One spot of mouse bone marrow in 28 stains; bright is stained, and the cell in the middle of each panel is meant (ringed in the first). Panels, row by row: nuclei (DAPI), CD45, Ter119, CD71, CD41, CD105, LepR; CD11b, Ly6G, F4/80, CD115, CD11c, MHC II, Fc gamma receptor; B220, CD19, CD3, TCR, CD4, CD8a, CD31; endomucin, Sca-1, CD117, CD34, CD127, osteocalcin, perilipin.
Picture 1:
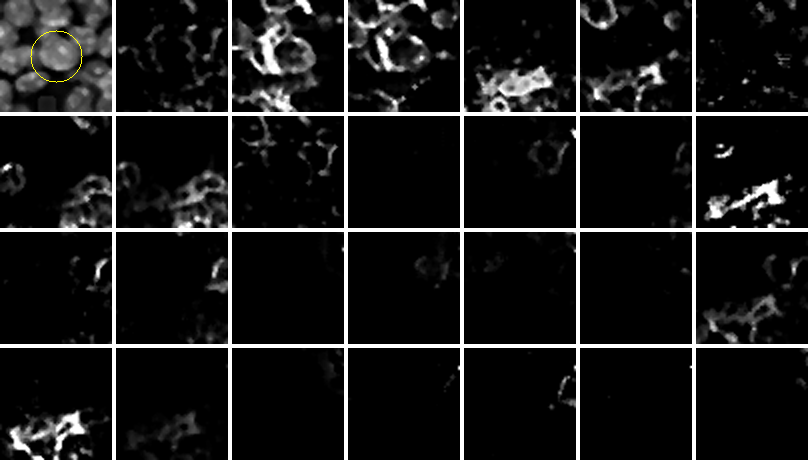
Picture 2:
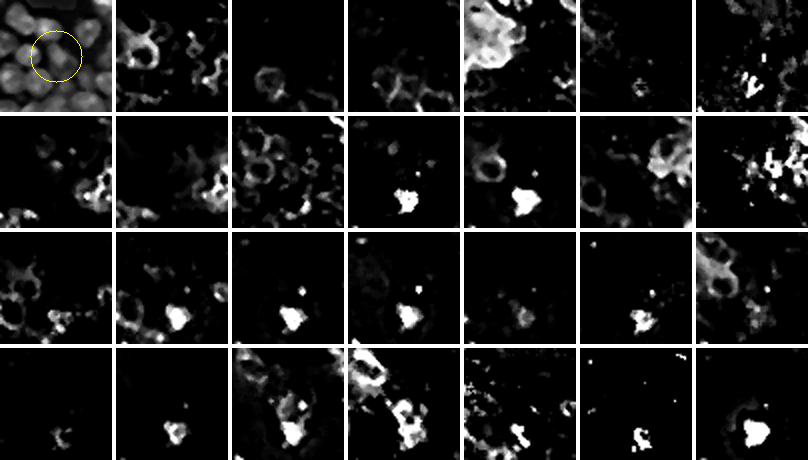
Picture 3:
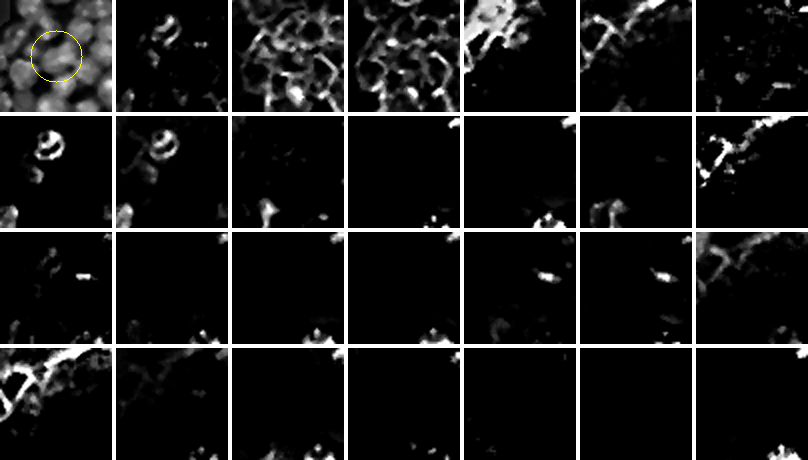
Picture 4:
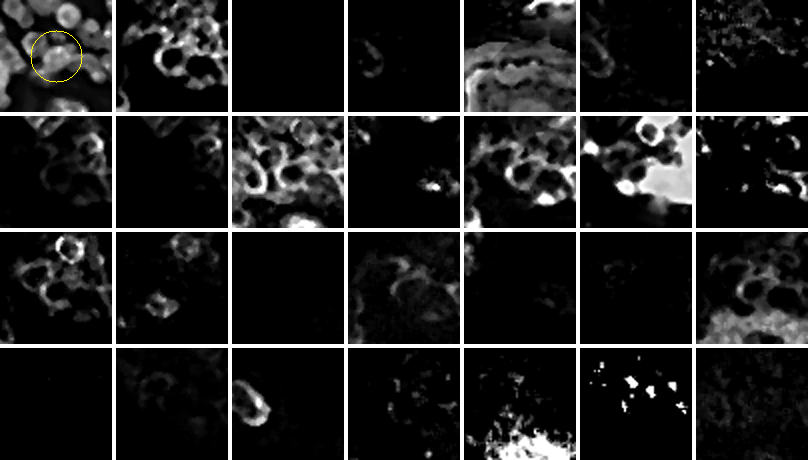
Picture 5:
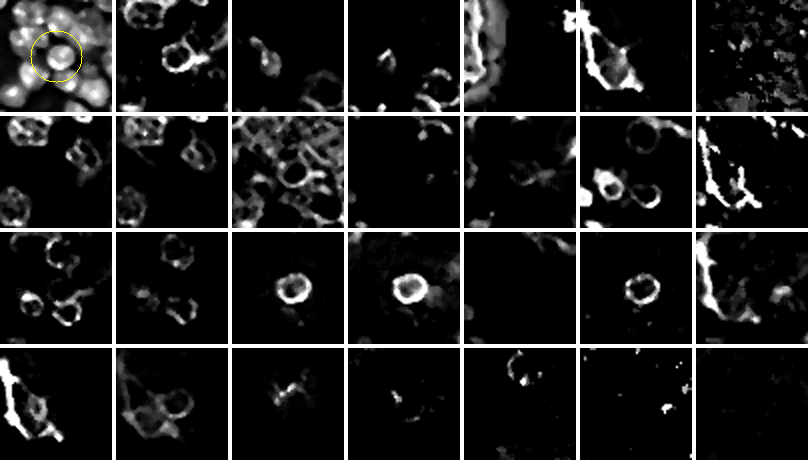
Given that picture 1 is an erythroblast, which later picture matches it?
3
